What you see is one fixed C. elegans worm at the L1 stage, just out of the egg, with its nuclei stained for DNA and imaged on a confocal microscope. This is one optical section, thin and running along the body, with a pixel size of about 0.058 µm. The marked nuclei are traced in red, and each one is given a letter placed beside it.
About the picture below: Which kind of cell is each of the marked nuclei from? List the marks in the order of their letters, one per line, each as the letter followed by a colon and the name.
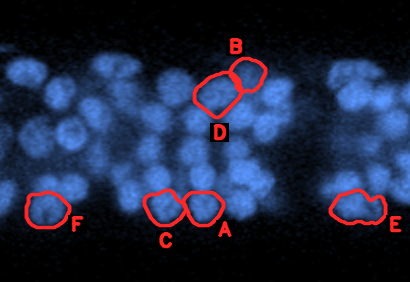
A: neuron
B: body wall muscle cell
C: neuron
D: neuron
E: body wall muscle cell
F: body wall muscle cell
